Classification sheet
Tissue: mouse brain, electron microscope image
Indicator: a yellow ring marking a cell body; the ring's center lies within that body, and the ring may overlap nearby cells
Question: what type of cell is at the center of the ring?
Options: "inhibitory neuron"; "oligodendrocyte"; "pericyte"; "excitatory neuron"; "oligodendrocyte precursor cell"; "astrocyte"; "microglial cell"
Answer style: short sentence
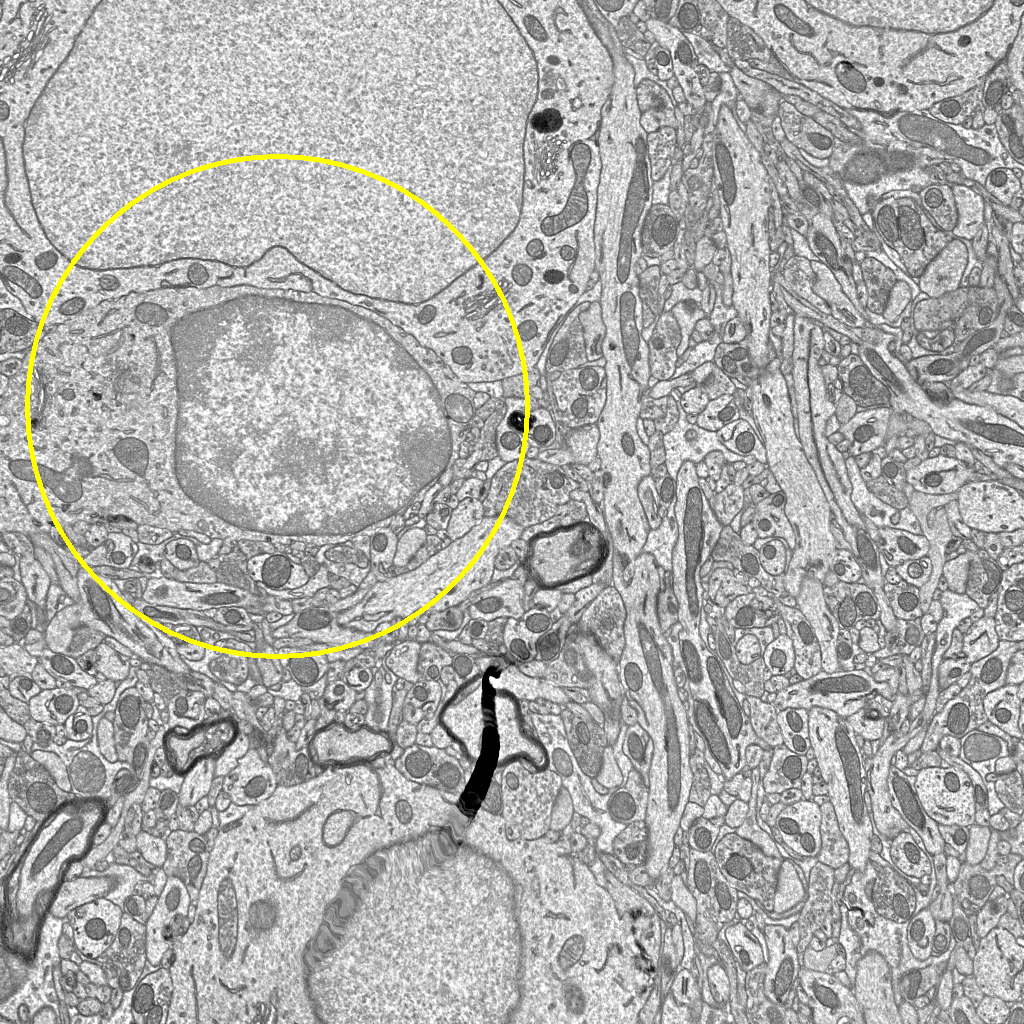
At the ring's center is an oligodendrocyte.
